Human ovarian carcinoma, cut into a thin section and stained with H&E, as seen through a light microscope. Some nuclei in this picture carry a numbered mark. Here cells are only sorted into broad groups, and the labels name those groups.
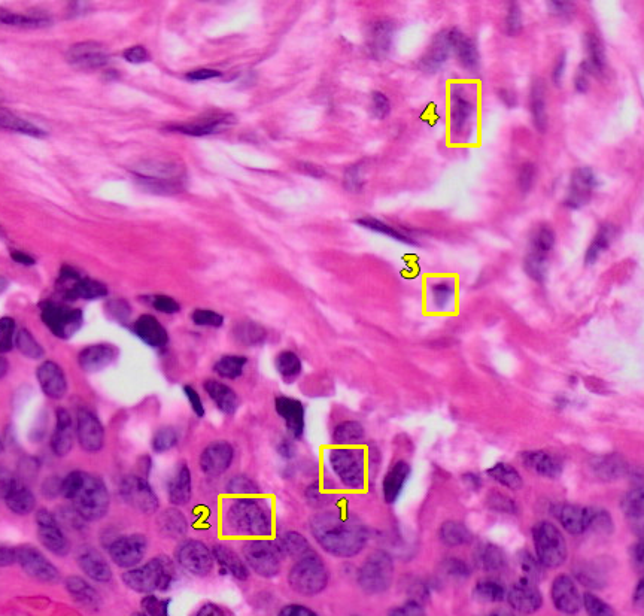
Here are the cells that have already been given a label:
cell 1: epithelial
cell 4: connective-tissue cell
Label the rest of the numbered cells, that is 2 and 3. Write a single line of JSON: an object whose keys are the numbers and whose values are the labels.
{"2": "epithelial", "3": "connective-tissue cell"}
